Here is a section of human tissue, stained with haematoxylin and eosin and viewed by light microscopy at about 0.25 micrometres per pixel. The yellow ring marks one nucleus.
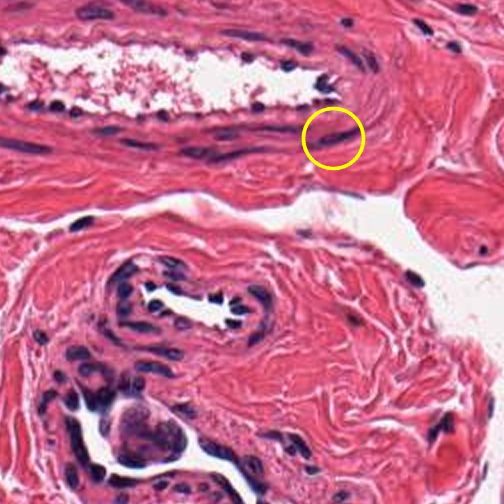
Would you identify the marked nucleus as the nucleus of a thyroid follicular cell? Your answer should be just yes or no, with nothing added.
no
